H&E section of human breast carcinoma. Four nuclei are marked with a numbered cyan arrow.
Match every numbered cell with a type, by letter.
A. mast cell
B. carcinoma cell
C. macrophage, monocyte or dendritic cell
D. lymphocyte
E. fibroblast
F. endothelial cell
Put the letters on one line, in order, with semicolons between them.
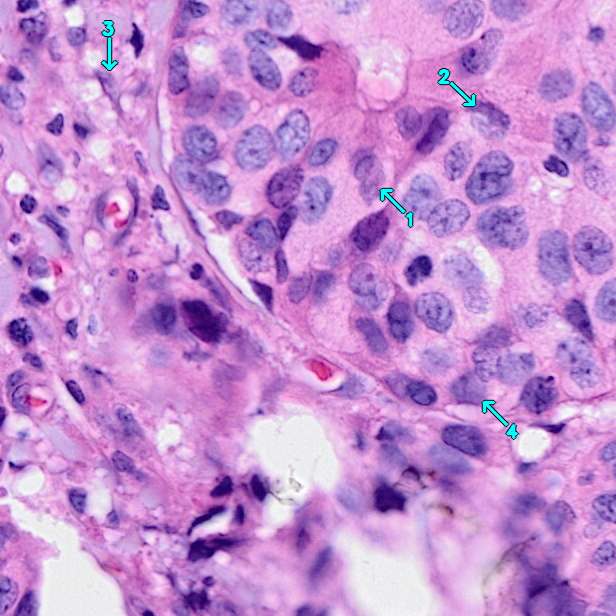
B; B; E; B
